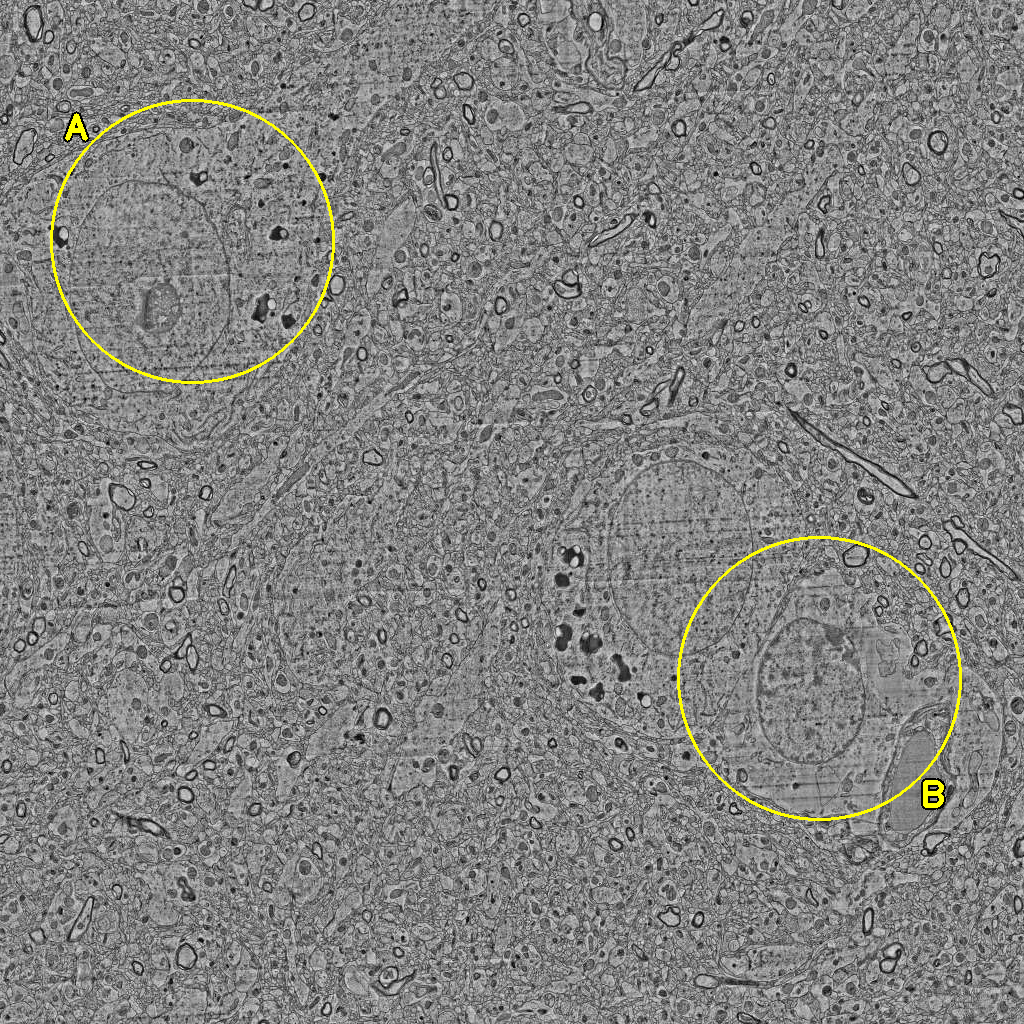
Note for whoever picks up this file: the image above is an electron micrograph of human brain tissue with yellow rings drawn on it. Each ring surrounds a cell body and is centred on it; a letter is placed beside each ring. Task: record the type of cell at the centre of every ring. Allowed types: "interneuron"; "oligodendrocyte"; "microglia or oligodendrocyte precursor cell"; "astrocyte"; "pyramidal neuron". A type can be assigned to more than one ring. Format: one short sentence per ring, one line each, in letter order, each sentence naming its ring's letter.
The ring marked A is centred on a pyramidal neuron.
The ring marked B is centred on an astrocyte.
